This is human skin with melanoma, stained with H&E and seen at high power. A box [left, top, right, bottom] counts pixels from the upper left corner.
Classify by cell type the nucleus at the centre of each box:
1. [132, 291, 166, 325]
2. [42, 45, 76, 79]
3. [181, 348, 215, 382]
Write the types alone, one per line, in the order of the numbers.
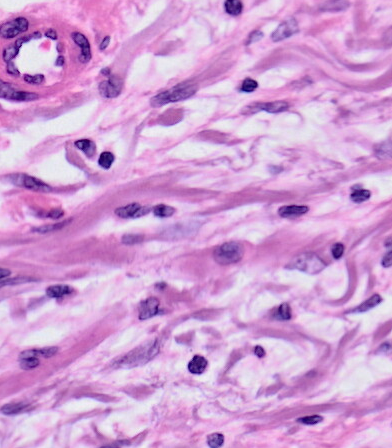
macrophage or monocyte
endothelial cell
lymphocyte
